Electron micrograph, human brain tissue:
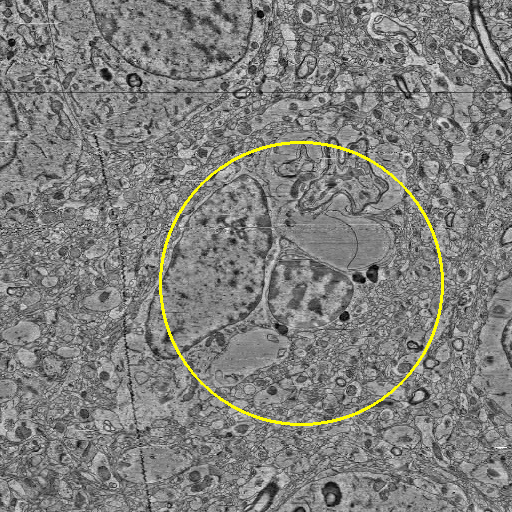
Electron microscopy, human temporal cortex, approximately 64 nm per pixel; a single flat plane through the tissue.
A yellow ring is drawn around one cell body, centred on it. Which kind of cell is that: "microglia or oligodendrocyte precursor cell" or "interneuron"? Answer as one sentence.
It is a microglial cell or oligodendrocyte precursor cell at the centre of the ring.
